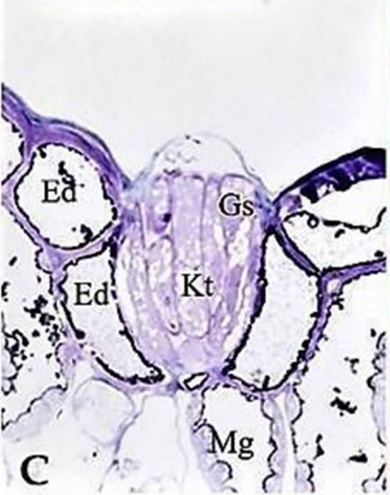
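The gland is an ovoid body built of narrow, elongated secretory cells lying side by side, with a rounded outer end that bulges slightly above the surface. On either side lie large, rounded epidermal cells that look mostly empty, with a thick, dark blue outer wall. Below the epidermis are loosely arranged, thin-walled inner leaf cells. Small dark granules are scattered along the cell walls.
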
